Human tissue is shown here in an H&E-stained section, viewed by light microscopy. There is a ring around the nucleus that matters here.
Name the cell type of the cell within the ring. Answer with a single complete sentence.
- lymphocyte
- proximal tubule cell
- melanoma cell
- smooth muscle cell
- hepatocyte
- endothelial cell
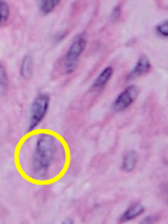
The cell meant here is a smooth muscle cell.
